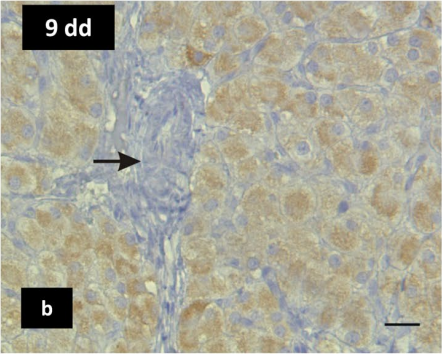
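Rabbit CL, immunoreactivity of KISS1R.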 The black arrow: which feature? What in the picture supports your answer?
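The arrow points to a band of elongated, spindle-shaped nuclei running through the tissue. The band is blue and unstained while the cells on both sides are light brown.
Conclusion: Blood vessels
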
